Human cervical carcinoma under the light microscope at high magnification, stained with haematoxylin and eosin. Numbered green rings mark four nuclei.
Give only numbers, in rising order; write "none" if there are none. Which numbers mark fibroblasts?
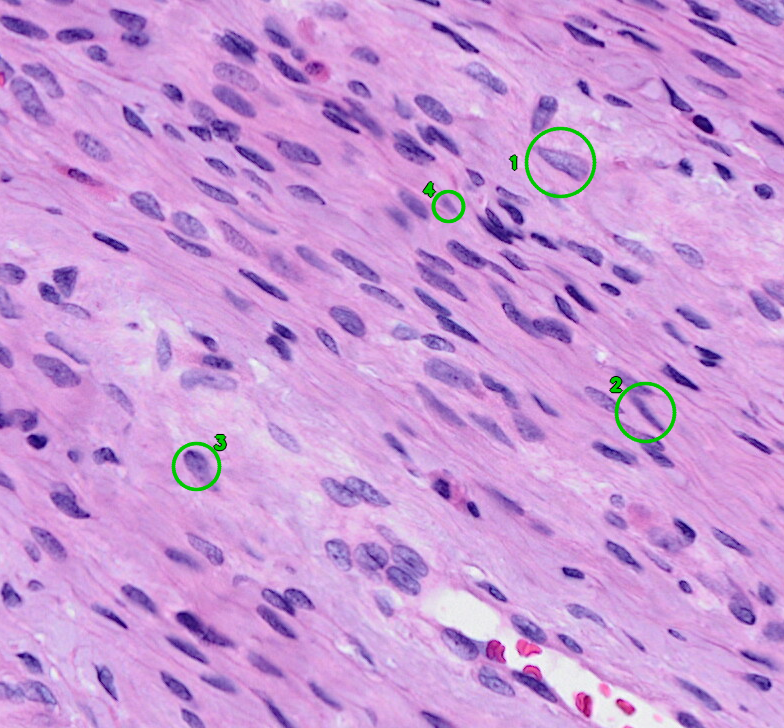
2, 3, 4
